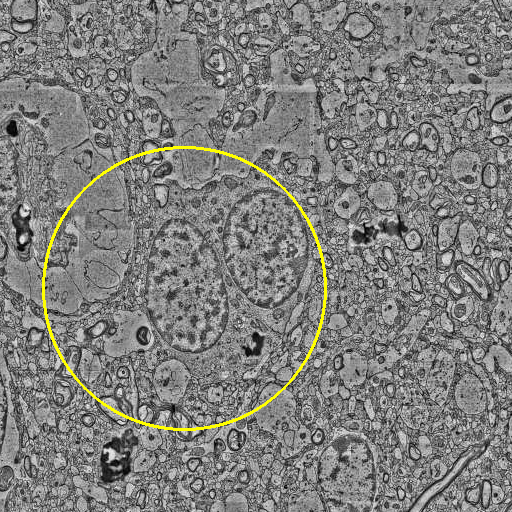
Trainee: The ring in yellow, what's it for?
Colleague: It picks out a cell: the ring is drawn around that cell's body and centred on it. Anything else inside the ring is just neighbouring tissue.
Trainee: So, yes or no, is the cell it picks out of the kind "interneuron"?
no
